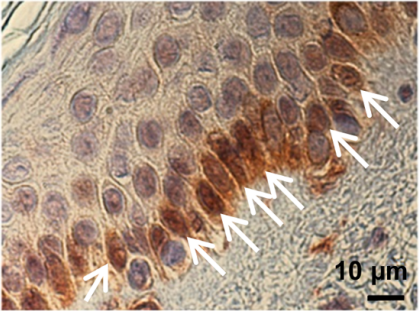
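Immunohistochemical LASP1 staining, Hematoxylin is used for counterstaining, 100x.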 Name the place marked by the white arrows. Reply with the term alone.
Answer: Epidermal basal layer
